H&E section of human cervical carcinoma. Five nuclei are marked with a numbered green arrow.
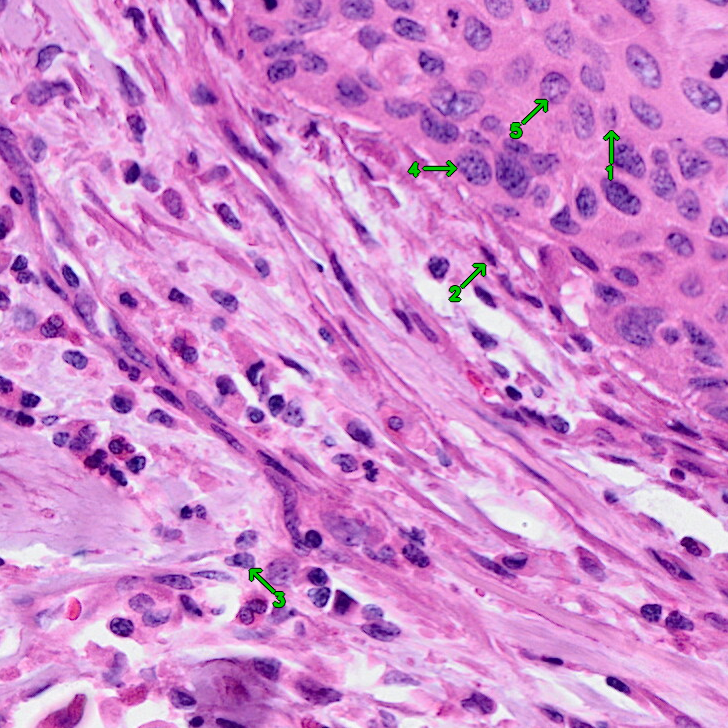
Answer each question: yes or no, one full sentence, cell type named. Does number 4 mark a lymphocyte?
No, number 4 marks a squamous carcinoma cell rather than a lymphocyte.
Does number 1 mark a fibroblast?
No, the one with number 1 is a squamous carcinoma cell, not a fibroblast.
